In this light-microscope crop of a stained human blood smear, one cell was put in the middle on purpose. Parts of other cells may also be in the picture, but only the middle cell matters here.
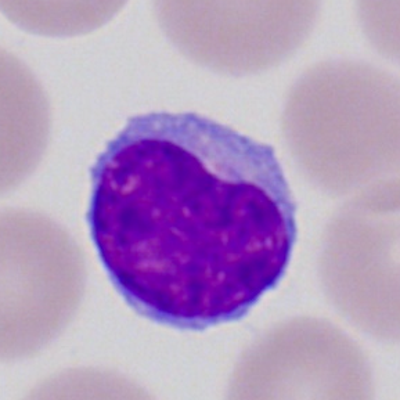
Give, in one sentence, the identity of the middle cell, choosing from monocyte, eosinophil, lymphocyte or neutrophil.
The centrally placed cell is classified as a lymphocyte.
